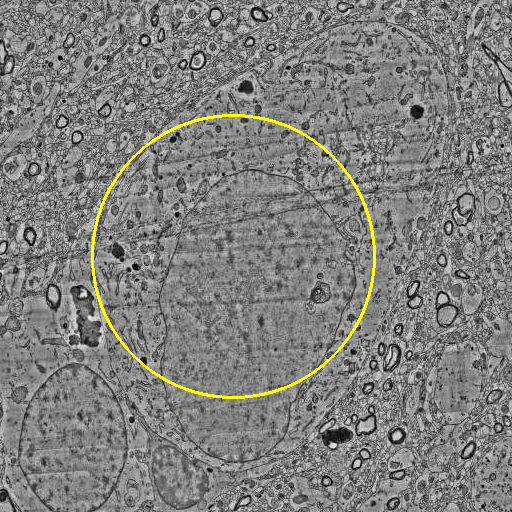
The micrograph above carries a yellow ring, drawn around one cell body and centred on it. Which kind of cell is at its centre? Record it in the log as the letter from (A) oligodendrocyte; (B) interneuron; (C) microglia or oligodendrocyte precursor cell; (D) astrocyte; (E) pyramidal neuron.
E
